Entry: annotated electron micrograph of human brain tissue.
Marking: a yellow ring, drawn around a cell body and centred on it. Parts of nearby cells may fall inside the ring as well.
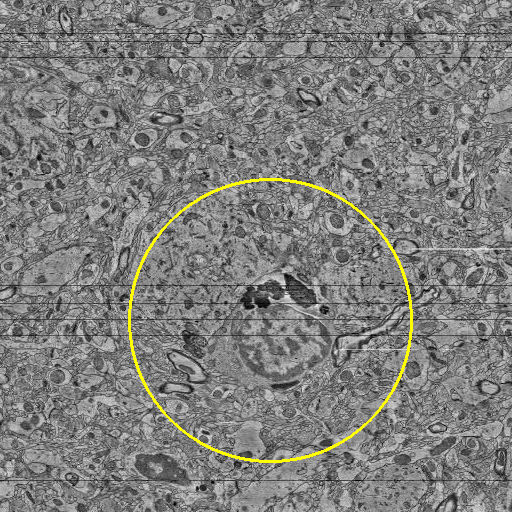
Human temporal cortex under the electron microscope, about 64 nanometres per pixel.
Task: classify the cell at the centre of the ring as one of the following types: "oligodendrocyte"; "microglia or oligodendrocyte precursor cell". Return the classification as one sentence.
The marked cell is classified as an oligodendrocyte.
